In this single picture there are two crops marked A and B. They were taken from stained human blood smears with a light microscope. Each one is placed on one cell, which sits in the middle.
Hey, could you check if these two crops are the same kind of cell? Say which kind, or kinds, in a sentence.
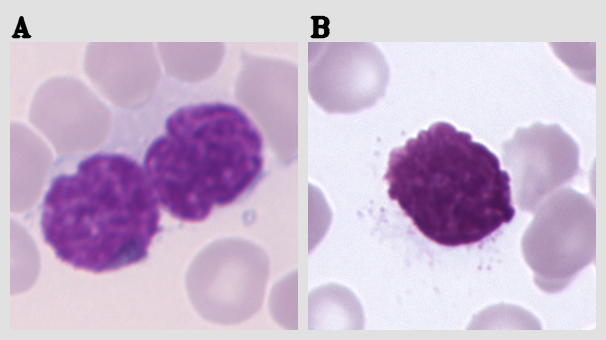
No, a myeloblast is centred in crop A, and a smudge cell is centred in crop B.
